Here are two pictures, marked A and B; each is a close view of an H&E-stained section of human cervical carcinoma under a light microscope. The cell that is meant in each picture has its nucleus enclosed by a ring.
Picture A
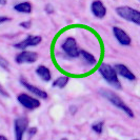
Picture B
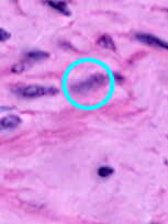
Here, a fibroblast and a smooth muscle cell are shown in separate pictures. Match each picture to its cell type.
A: fibroblast
B: smooth muscle cell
